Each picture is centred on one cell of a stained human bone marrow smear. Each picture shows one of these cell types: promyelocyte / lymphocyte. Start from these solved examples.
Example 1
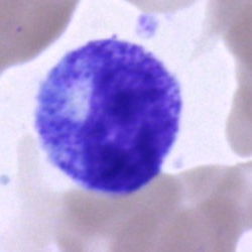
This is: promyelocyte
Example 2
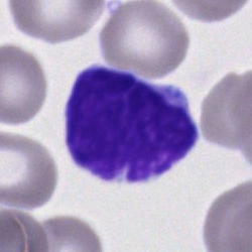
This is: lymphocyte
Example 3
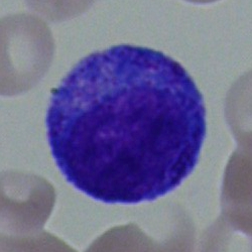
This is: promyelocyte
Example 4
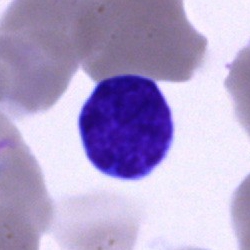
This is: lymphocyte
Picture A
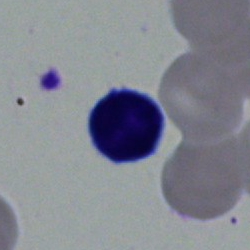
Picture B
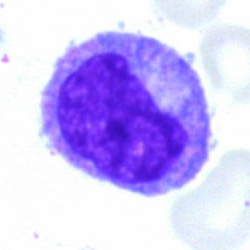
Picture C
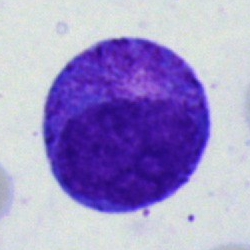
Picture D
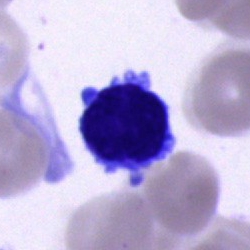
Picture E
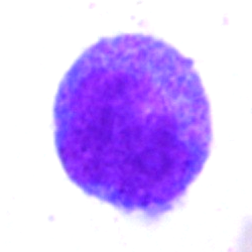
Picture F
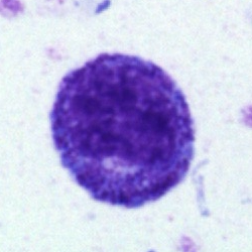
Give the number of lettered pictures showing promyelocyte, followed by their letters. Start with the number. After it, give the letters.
4: B, C, E, F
